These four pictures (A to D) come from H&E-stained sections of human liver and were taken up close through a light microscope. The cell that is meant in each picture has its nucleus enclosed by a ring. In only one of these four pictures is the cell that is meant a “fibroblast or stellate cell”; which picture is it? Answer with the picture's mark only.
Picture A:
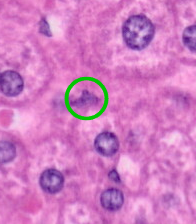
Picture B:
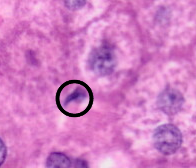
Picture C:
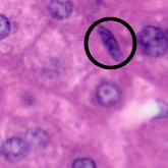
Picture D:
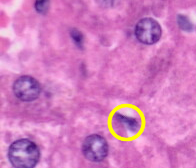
C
